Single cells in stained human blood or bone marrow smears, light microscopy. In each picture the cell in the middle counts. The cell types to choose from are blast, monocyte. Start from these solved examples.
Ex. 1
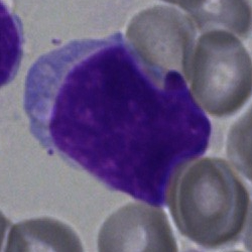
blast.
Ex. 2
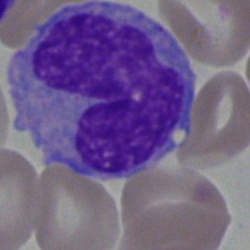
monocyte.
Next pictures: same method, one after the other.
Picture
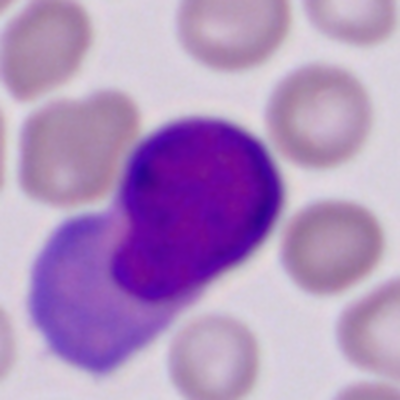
blast.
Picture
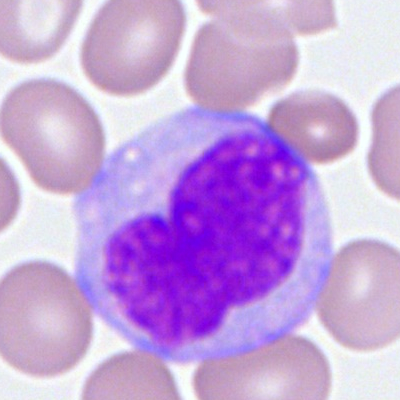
monocyte.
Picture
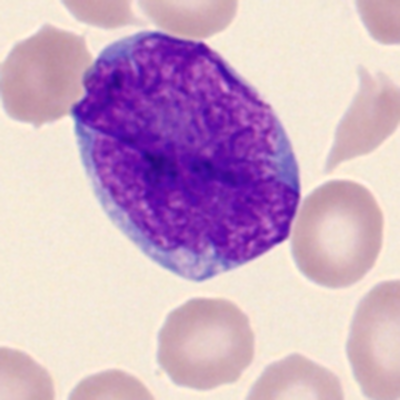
blast.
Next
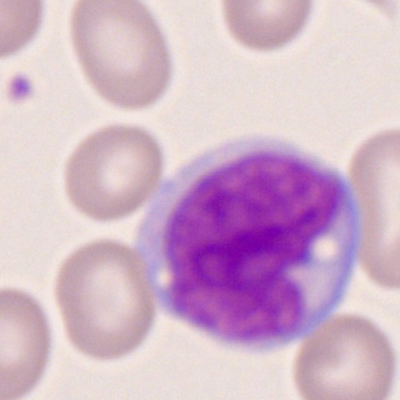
monocyte.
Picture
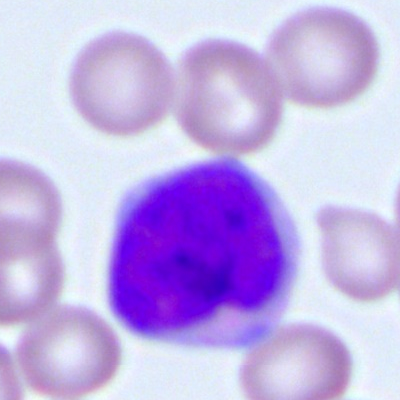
blast.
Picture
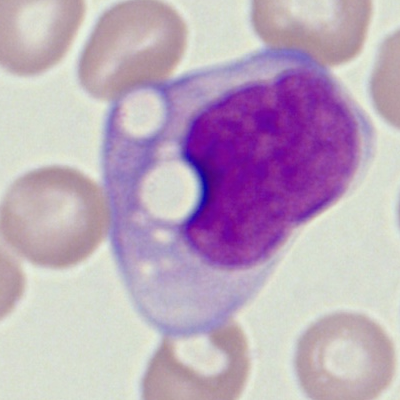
monocyte.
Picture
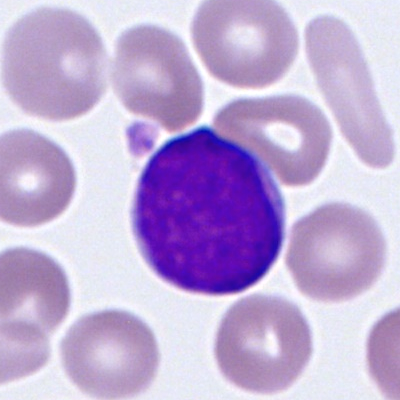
blast.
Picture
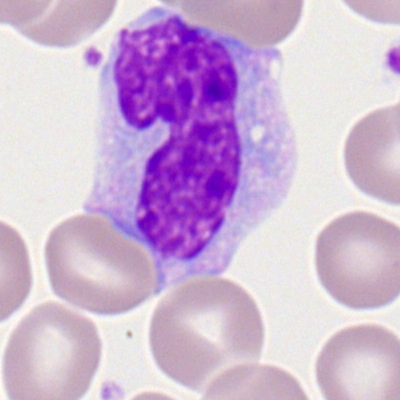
monocyte.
